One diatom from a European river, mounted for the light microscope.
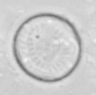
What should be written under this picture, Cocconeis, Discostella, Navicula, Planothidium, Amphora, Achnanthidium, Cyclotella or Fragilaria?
Discostella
